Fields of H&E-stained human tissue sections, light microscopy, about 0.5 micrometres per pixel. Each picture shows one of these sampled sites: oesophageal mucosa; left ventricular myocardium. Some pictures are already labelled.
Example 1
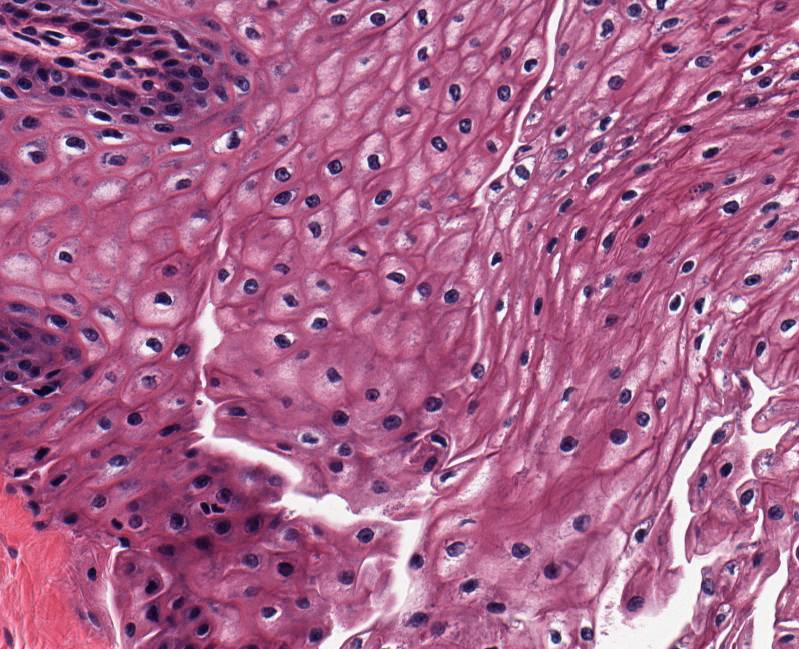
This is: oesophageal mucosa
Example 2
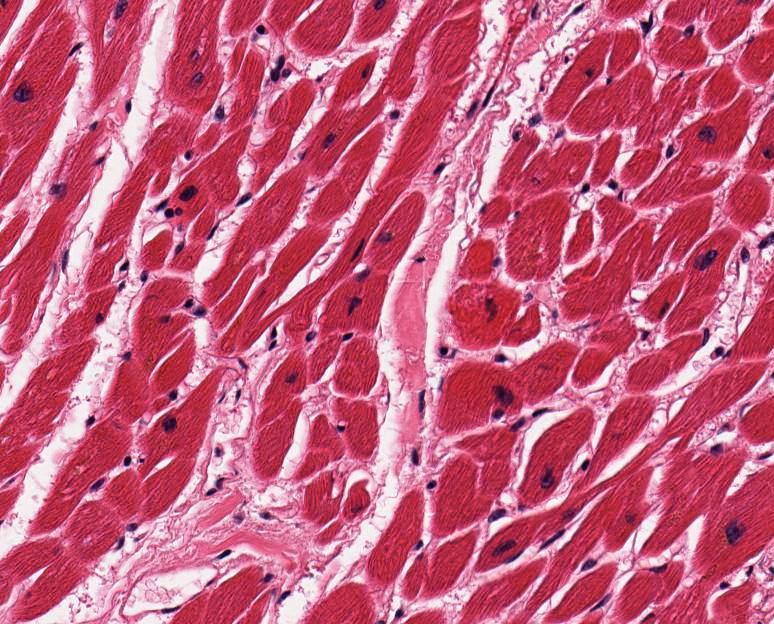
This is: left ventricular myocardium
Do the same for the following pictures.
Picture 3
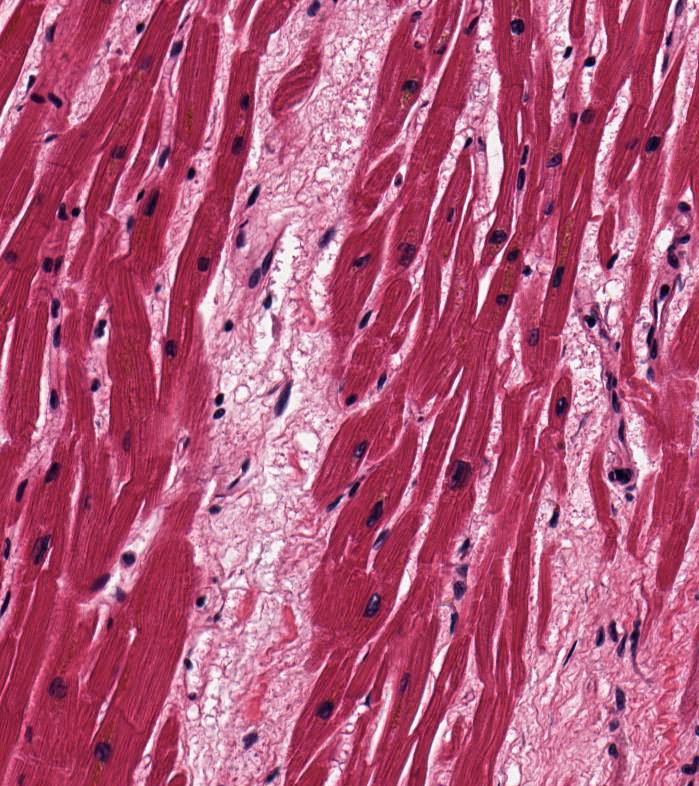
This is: left ventricular myocardium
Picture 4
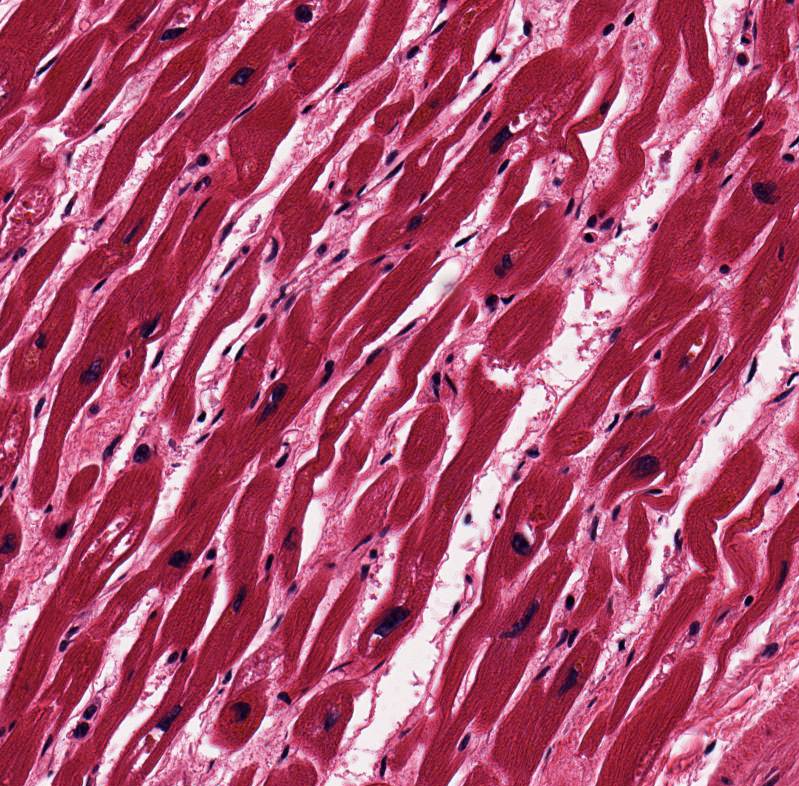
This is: left ventricular myocardium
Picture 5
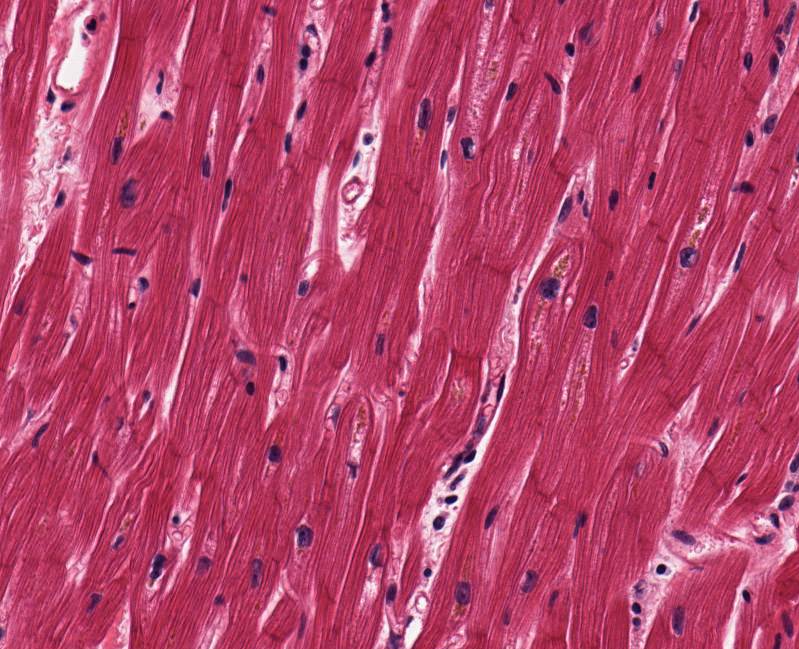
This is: left ventricular myocardium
